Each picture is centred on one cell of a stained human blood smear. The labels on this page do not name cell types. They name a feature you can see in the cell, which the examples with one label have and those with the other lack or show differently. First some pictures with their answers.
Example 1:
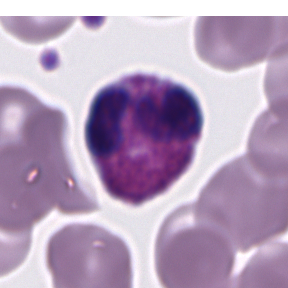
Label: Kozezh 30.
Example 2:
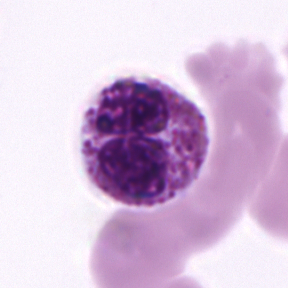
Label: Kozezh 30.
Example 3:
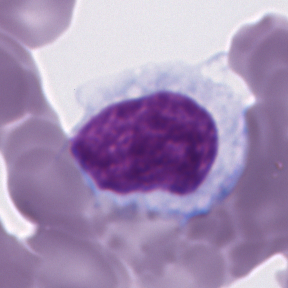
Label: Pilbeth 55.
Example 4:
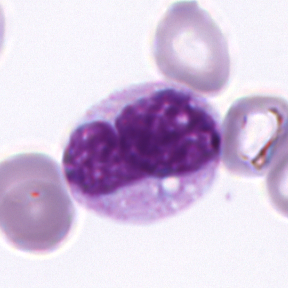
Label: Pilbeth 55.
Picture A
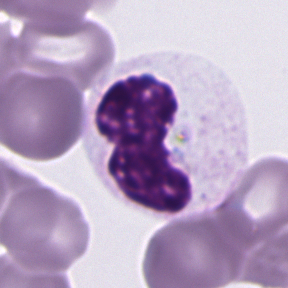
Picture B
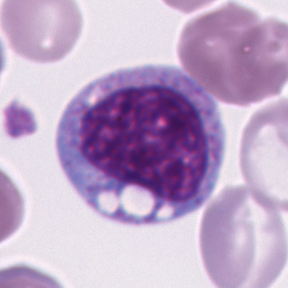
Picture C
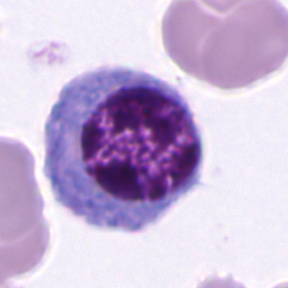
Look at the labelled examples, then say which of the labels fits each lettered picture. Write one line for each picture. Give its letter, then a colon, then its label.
A: Kozezh 30.
B: Pilbeth 55.
C: Kozezh 30.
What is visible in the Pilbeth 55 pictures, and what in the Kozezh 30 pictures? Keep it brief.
Pilbeth 55: vacuoles present; Kozezh 30: no vacuoles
